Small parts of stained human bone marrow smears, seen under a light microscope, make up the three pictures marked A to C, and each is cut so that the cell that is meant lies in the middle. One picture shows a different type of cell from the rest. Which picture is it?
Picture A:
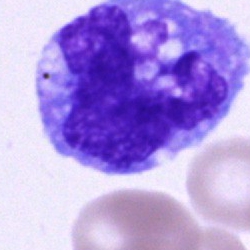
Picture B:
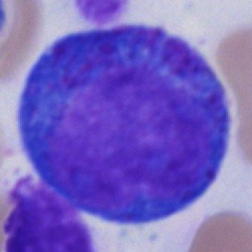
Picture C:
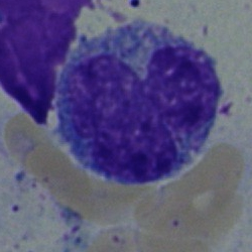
B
